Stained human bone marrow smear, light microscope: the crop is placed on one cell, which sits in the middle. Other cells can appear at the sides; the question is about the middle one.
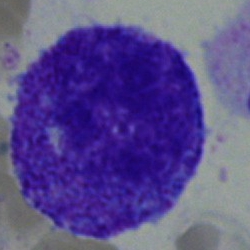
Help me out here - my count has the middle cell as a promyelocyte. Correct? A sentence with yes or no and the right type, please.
Yes, the cell at the midpoint of the crop is a promyelocyte.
